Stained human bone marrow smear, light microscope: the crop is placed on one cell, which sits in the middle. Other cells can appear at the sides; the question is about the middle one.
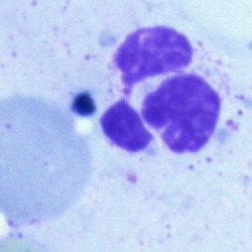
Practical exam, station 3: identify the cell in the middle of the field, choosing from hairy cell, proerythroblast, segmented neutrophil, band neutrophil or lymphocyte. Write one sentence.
The cell featured at the centre of this crop is a segmented neutrophil.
